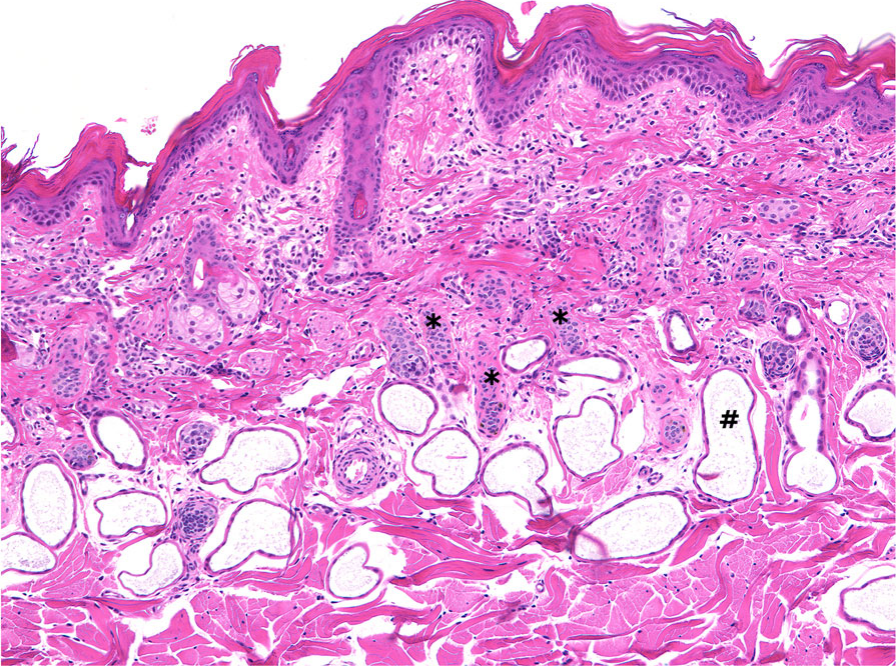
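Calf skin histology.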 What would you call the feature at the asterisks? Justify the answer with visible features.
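The asterisks lie beside small rounded clusters of basophilic epithelial cells in the dermis. These epithelial profiles sit among collagen and near the deeper cystic spaces. So: Hair follicles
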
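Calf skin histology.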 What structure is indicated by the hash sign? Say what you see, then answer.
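The hash sign marks a large empty rounded lumen lined by a thin flattened epithelium. Many similar dilated lumina form a row in the deeper dermis. So: apocrine glandular dilation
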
